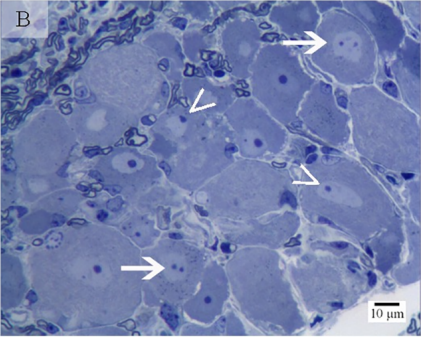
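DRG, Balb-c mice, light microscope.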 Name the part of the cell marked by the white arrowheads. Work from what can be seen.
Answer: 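The arrowheads point at small dark dots inside pale nuclei of large neurons. The dots lie off the centre of the nucleus.
Answer: nucleoli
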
